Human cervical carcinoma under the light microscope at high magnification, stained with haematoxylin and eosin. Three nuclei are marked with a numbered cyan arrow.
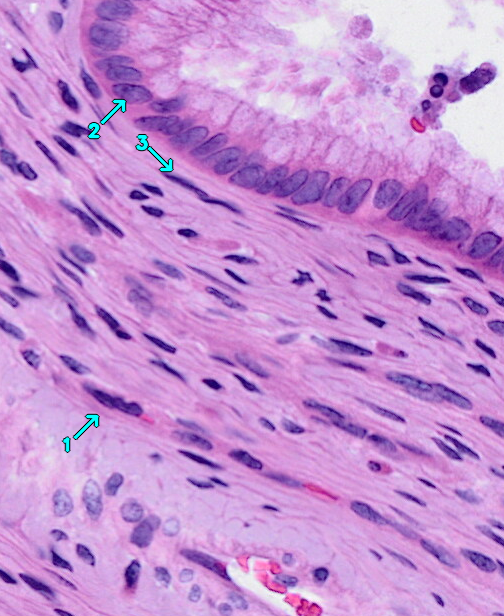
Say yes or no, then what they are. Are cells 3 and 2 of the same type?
No, cell 3 is a fibroblast; as for cell 2, that one is a secretory epithelial cell.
